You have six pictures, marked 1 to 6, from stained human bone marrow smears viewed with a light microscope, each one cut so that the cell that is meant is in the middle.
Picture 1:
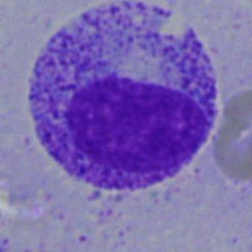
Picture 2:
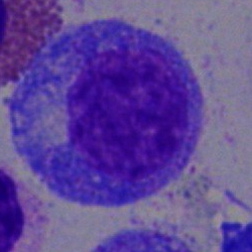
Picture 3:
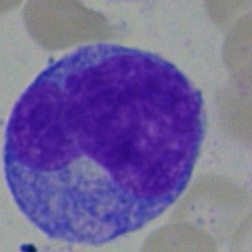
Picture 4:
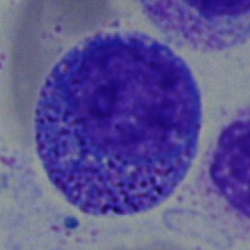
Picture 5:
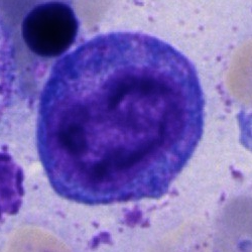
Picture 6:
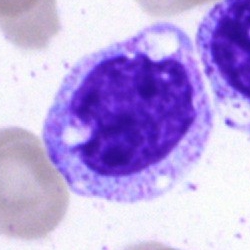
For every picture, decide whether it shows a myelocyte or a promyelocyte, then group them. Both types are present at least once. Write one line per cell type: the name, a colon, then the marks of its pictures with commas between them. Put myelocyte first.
myelocyte: 1, 6
promyelocyte: 2, 3, 4, 5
